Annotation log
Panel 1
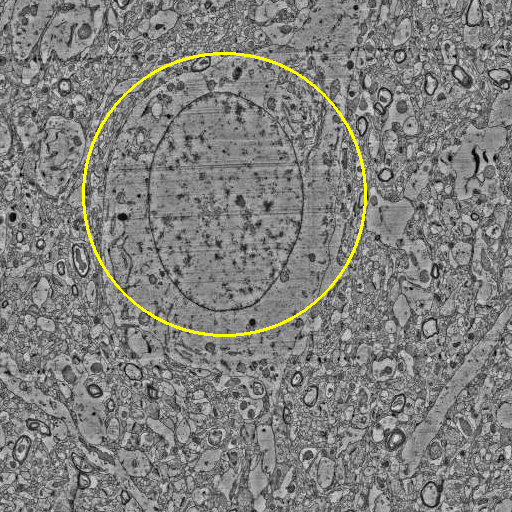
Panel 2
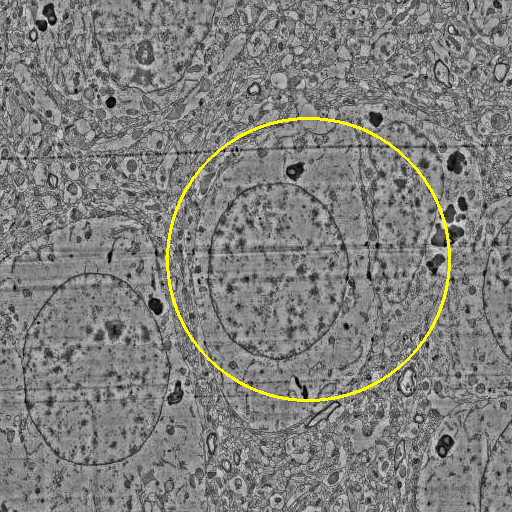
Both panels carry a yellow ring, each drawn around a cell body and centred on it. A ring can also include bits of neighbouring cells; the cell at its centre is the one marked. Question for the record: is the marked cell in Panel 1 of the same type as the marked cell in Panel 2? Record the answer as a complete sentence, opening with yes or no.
Yes, the marked cells in Panel 1 and Panel 2 are of the same type.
